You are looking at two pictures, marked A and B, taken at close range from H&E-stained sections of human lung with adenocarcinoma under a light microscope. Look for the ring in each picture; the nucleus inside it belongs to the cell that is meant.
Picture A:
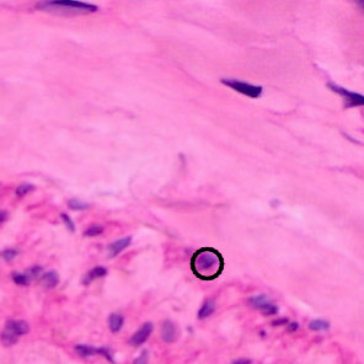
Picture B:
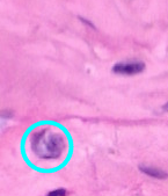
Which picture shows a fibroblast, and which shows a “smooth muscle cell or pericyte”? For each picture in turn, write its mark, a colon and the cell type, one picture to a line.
A: smooth muscle cell or pericyte
B: fibroblast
